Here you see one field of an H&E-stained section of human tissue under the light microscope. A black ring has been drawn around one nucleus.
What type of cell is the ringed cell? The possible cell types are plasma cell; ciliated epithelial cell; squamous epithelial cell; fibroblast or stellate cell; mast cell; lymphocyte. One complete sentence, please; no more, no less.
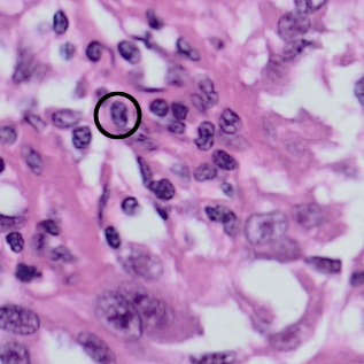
Speaking plainly, the ringed cell is nothing other than a lymphocyte.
